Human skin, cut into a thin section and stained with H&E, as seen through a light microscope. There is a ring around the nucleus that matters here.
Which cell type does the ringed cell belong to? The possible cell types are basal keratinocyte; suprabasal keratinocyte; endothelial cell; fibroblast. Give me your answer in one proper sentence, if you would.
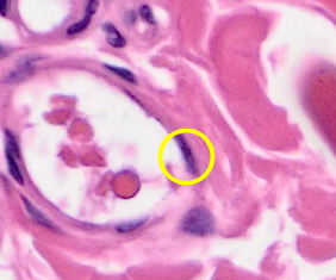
Cytologically, the ringed cell is to be regarded as an endothelial cell.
